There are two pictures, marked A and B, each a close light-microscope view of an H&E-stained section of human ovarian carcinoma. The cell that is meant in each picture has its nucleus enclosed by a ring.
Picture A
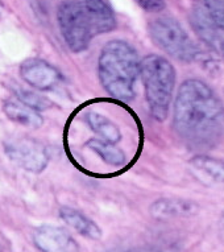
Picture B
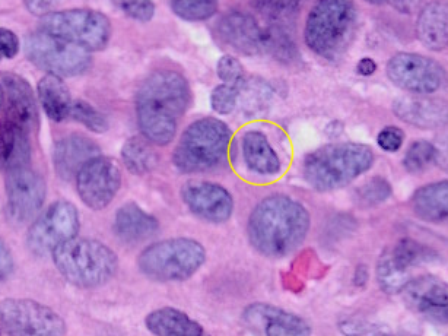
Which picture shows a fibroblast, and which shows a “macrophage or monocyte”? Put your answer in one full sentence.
It is picture A that shows a fibroblast, and picture B that shows a “macrophage or monocyte”.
